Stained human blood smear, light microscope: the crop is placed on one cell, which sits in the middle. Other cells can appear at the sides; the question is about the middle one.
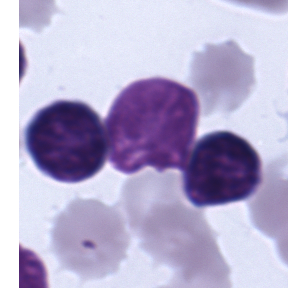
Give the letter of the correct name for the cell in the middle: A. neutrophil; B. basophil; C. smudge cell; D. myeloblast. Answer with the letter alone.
D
